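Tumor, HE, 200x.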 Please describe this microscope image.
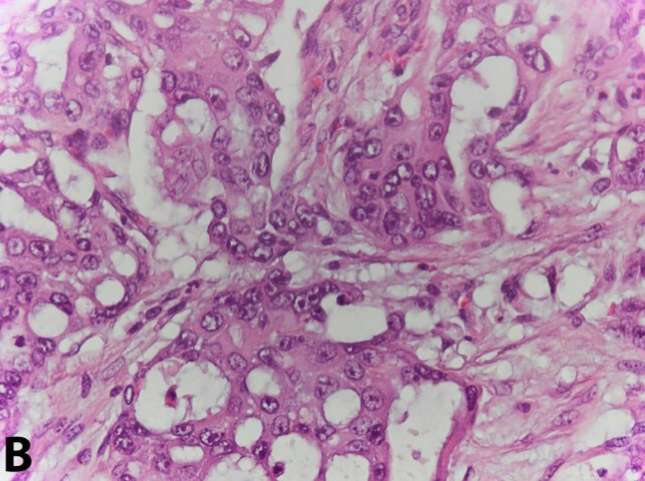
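Sheets and cords of large tumour cells line irregular gland-like and tubular spaces, some of which are empty and some of which contain loose pale material. The cells have abundant pink cytoplasm. Their nuclei are big, round to oval and unequal in size and shape, with pale open chromatin and a conspicuous dark nucleolus.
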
